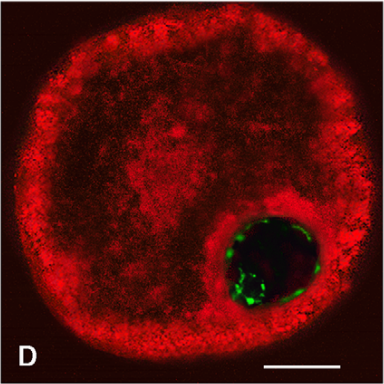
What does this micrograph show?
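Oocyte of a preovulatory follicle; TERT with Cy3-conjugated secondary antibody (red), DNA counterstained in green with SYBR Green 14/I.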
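Red fluorescence is strongest in a granular band just beneath the cell surface, while the central cytoplasm is dimmer and mottled. A bright red ring encircles the nucleus, making the perinuclear cytoplasm stand out. The nucleus itself is mostly dark, with green chromatin gathered into a few bright clumps and thin crescents along its margin. The nuclear interior shows little red signal.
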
